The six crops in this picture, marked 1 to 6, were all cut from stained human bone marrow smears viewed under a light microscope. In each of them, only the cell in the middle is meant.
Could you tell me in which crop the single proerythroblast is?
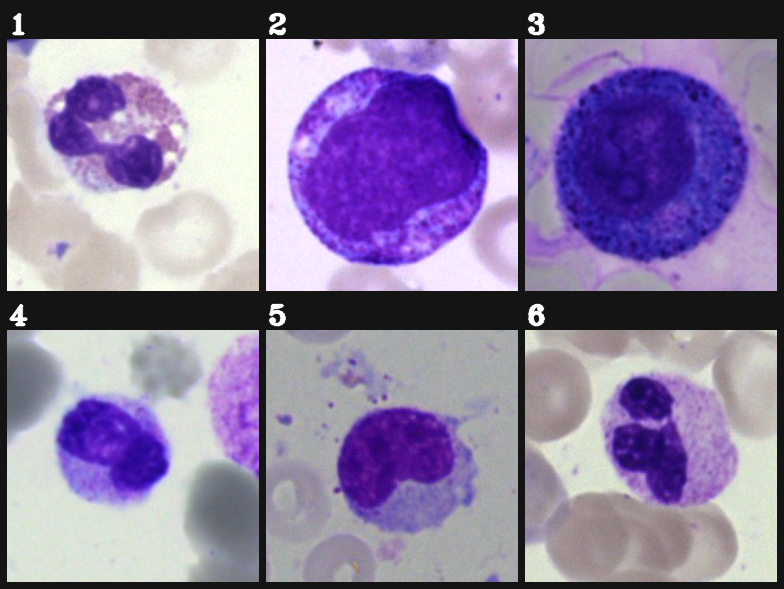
3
